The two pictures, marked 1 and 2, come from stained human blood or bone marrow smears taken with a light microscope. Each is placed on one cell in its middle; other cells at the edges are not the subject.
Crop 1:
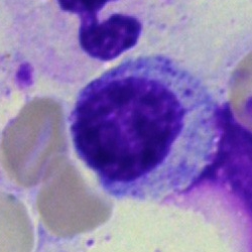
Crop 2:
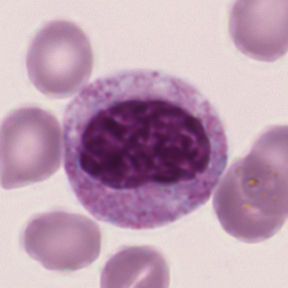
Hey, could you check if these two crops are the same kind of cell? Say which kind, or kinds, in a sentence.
No, the cell centred in crop 2 is a metamyelocyte; crop 1 centres on a myelocyte.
